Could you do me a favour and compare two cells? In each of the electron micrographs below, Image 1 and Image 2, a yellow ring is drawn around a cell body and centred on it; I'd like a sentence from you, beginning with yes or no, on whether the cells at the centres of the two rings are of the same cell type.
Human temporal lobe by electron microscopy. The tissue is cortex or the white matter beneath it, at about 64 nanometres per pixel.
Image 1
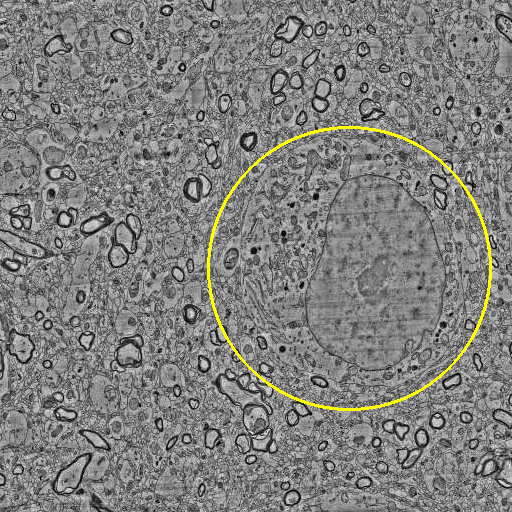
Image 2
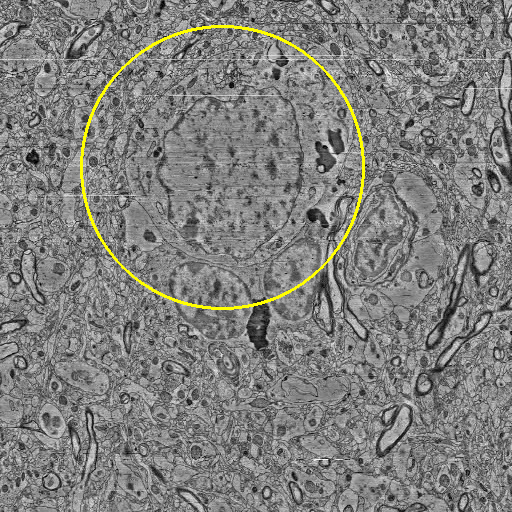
Yes, the two cells are of the same cell type.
